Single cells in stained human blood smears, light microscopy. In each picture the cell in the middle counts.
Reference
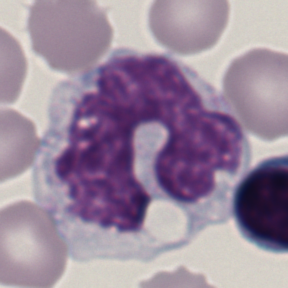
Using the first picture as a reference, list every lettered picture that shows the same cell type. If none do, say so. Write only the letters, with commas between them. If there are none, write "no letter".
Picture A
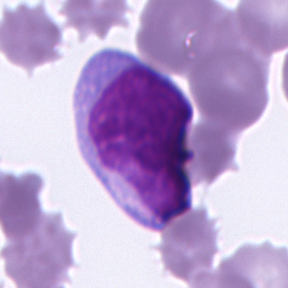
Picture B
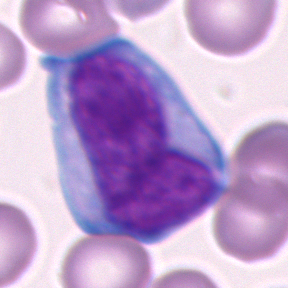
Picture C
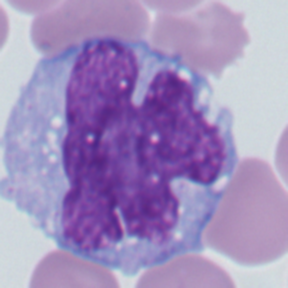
C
